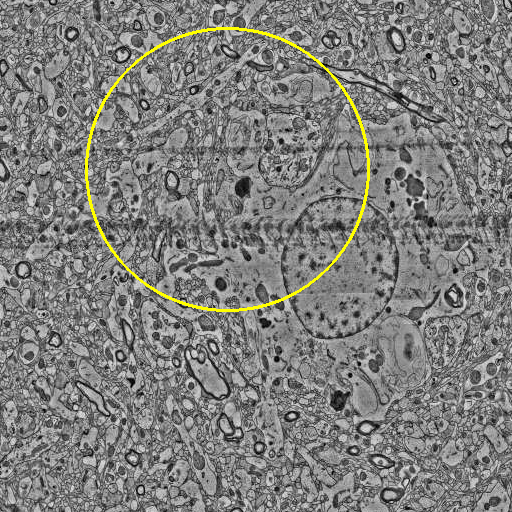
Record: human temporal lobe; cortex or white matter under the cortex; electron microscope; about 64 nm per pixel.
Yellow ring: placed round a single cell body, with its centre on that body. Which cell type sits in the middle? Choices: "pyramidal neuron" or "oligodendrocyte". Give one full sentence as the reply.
It is an oligodendrocyte whose cell body sits at the centre of the yellow ring.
